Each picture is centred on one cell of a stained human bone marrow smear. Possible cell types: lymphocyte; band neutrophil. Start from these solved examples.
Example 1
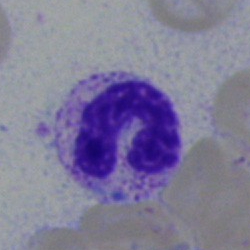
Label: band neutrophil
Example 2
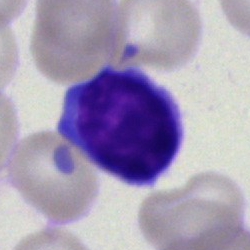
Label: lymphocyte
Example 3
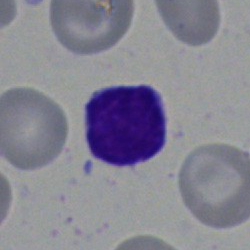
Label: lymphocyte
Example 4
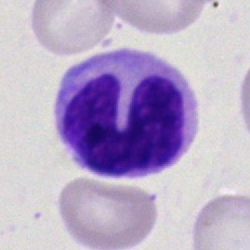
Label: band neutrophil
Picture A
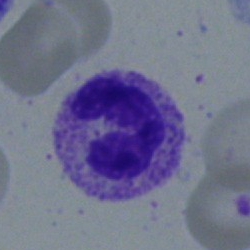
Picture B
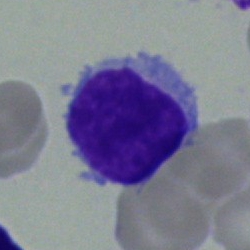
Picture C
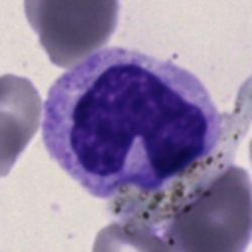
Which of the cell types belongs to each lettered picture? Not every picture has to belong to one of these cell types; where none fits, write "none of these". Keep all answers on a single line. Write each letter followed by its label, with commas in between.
A band neutrophil, B lymphocyte, C band neutrophil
